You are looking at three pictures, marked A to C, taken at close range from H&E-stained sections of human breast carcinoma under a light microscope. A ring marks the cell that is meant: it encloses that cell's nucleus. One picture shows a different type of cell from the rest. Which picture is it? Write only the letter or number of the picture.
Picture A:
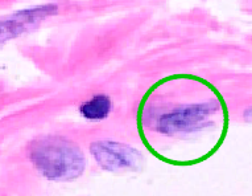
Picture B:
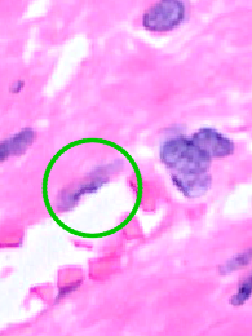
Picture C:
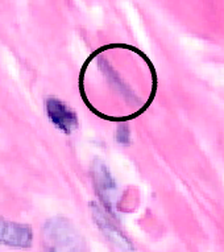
C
